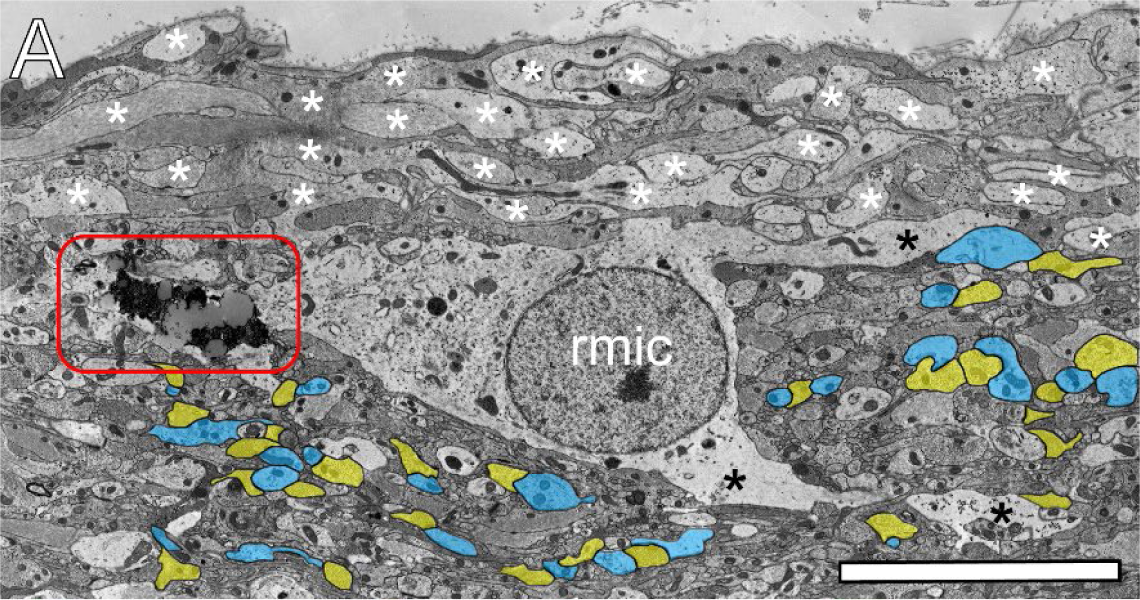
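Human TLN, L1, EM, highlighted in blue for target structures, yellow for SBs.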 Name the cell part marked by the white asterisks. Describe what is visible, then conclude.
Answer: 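Pale, electron-lucent profiles are packed in a band along the top surface. The profiles are thin and flattened, lying parallel to the surface.
Hence: fine astrocytic processes.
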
